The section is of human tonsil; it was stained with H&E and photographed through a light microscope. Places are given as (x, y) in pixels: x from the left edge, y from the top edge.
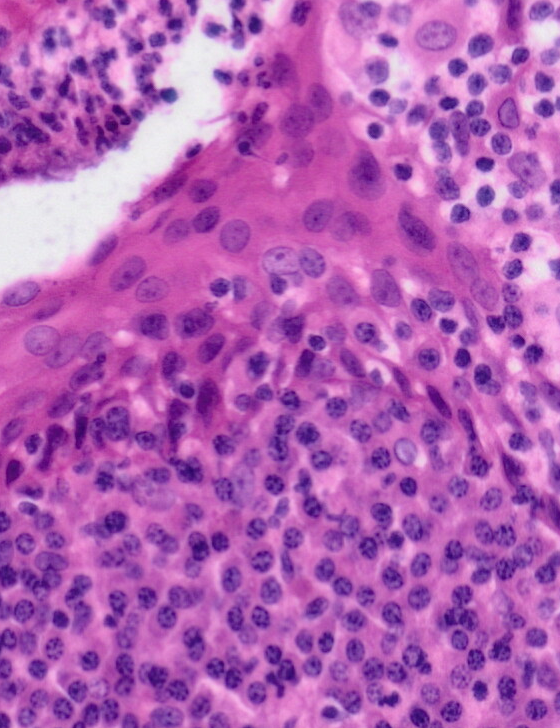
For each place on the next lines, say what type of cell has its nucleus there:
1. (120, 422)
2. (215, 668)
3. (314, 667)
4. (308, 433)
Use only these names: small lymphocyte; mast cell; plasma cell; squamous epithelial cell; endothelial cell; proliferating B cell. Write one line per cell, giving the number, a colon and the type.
1: squamous epithelial cell
2: plasma cell
3: plasma cell
4: plasma cell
